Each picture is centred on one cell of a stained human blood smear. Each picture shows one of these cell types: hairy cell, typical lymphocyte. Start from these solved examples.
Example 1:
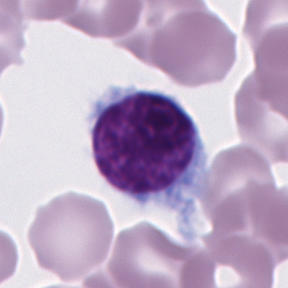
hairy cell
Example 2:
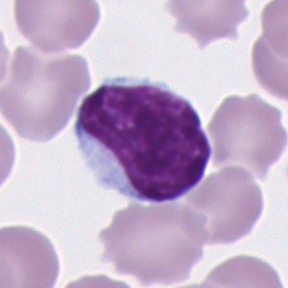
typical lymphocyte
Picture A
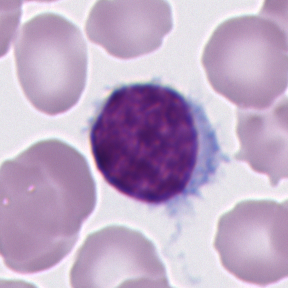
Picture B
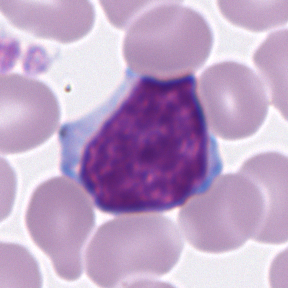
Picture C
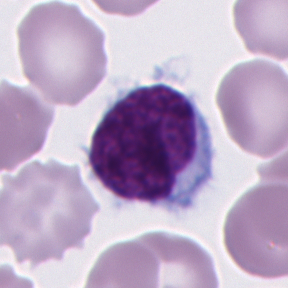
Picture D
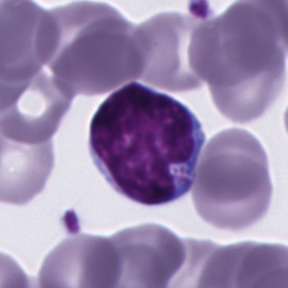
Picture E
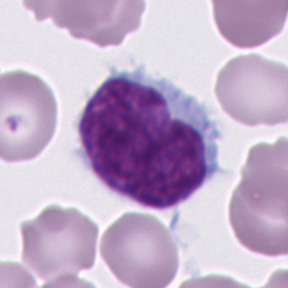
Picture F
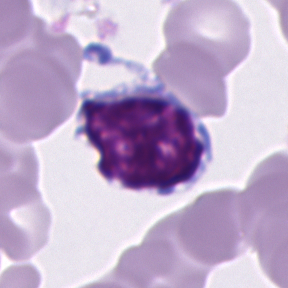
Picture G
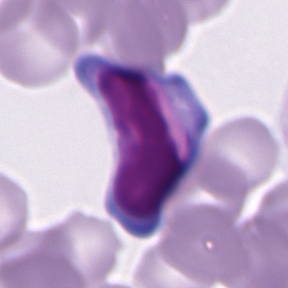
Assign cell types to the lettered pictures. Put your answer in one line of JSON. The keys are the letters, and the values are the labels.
{"A": "hairy cell", "B": "typical lymphocyte", "C": "hairy cell", "D": "typical lymphocyte", "E": "hairy cell", "F": "typical lymphocyte", "G": "typical lymphocyte"}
